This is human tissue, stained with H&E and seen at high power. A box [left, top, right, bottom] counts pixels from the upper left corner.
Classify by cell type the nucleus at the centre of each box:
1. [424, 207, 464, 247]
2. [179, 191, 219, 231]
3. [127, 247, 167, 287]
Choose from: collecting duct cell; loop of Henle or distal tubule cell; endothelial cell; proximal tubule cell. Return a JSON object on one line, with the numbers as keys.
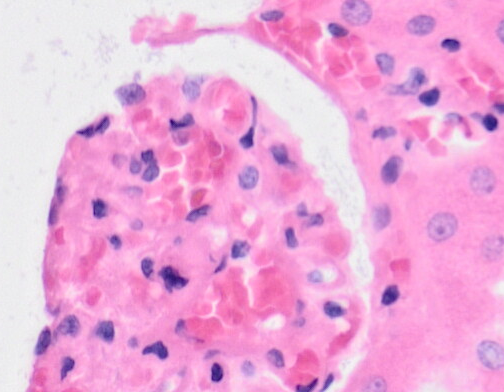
{"1": "proximal tubule cell", "2": "endothelial cell", "3": "endothelial cell"}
